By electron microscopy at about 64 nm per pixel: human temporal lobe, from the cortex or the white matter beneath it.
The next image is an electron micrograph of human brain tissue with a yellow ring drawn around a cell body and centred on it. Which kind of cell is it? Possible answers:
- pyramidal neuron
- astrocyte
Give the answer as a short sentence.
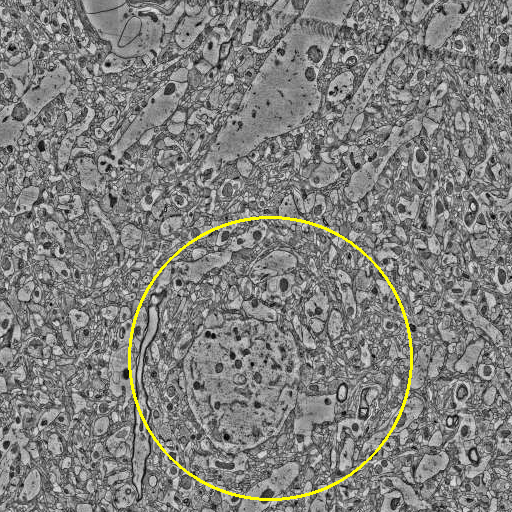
In the ring's centre is a pyramidal neuron.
